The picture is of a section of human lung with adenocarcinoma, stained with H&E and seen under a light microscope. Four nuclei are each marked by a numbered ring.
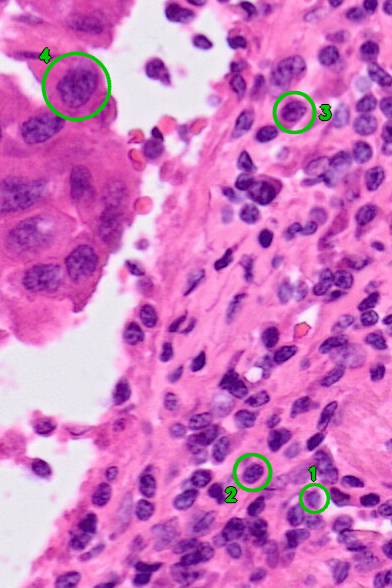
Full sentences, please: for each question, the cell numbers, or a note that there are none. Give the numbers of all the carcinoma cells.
Only at number 4 is there a carcinoma cell among the marked cells.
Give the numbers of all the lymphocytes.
The cells picked out by numbers 1 and 2 are lymphocytes.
